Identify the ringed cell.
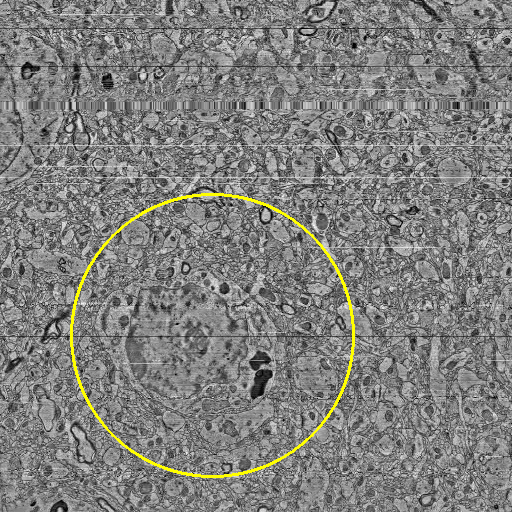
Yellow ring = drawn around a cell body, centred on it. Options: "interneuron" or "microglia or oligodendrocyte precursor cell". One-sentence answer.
What the ring is centred on is an interneuron.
